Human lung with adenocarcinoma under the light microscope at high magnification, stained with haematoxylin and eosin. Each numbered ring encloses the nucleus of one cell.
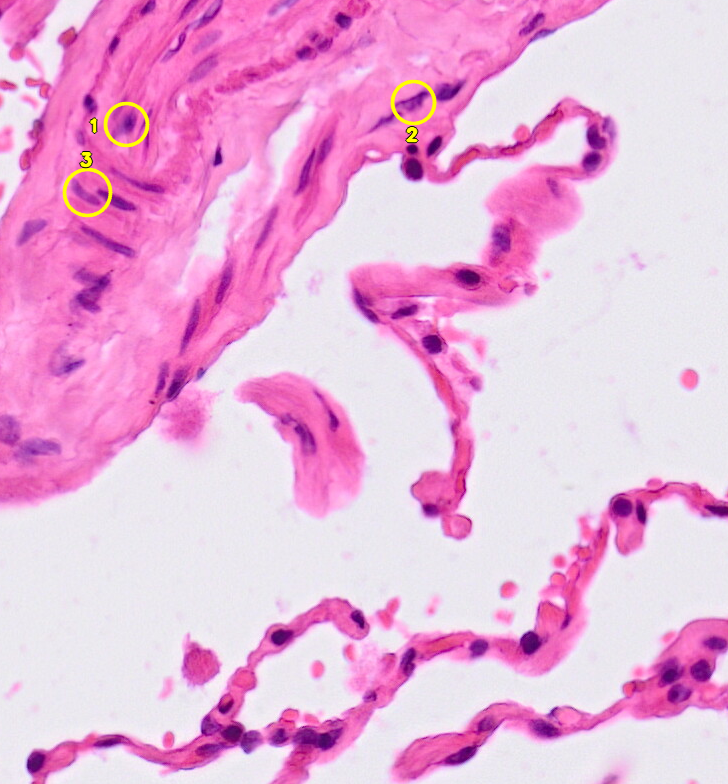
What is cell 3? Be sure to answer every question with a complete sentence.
Cell 3 should be recorded as a smooth muscle cell or pericyte.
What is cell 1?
Cell number 1 in this section is a smooth muscle cell or pericyte.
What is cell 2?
Numbered cell 2 is a fibroblast in this tissue section.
